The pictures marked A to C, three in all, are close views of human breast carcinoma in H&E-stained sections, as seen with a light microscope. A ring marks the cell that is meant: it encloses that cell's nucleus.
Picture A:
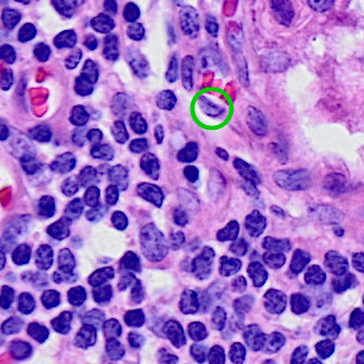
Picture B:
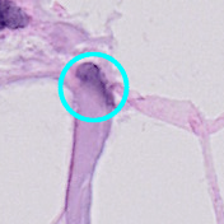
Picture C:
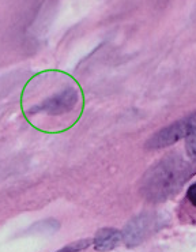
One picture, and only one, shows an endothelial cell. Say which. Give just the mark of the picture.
A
